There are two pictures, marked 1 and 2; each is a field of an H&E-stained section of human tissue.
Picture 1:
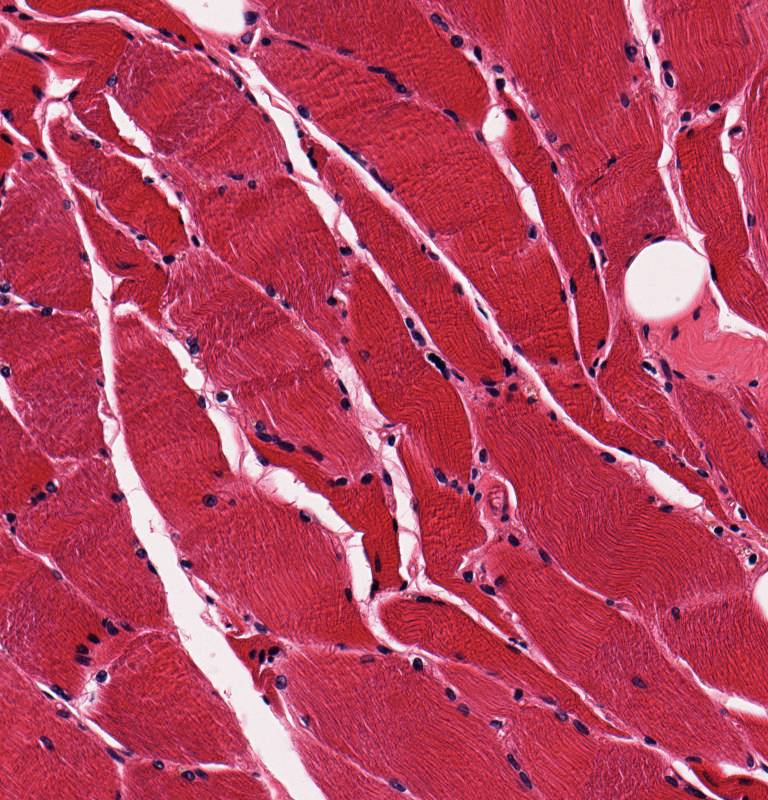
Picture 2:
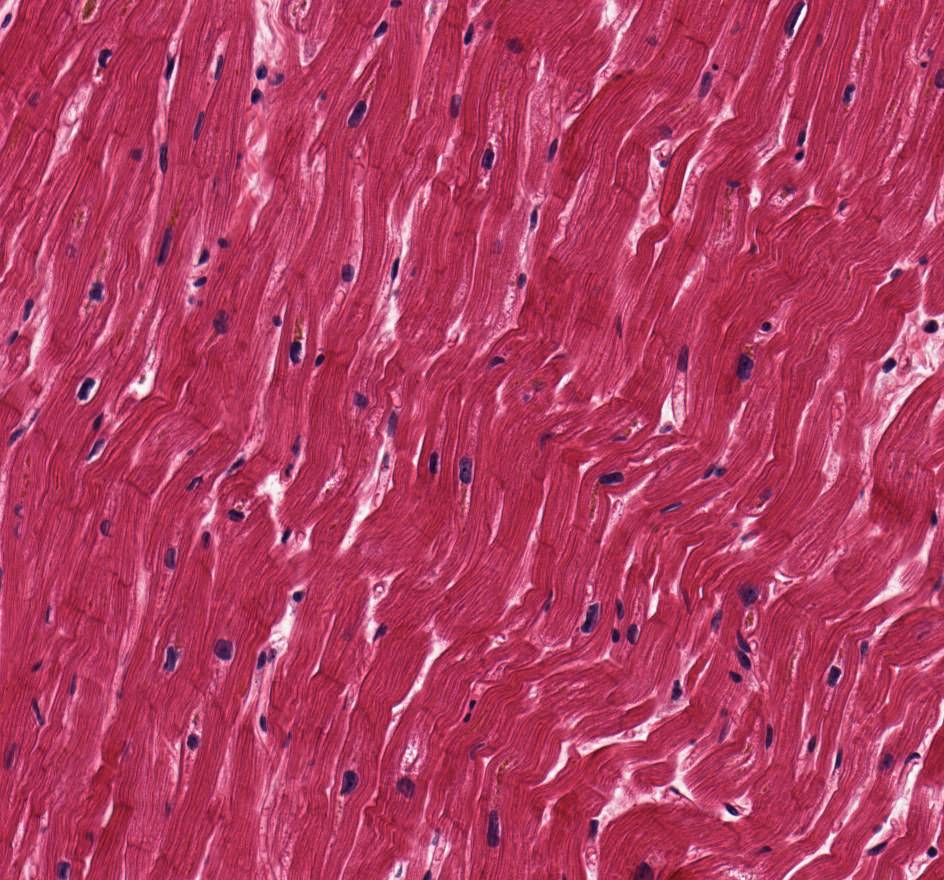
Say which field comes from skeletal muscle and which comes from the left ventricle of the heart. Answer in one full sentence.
Picture 1 comes from skeletal muscle and picture 2 comes from the left ventricle of the heart.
